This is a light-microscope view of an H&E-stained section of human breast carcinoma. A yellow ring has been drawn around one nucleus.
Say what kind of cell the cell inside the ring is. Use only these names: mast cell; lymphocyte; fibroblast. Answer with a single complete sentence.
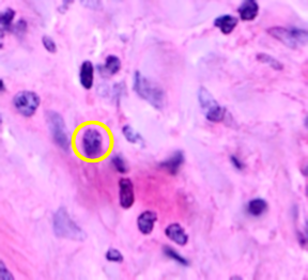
Labelled by cell type, the cell inside the ring is a mast cell.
